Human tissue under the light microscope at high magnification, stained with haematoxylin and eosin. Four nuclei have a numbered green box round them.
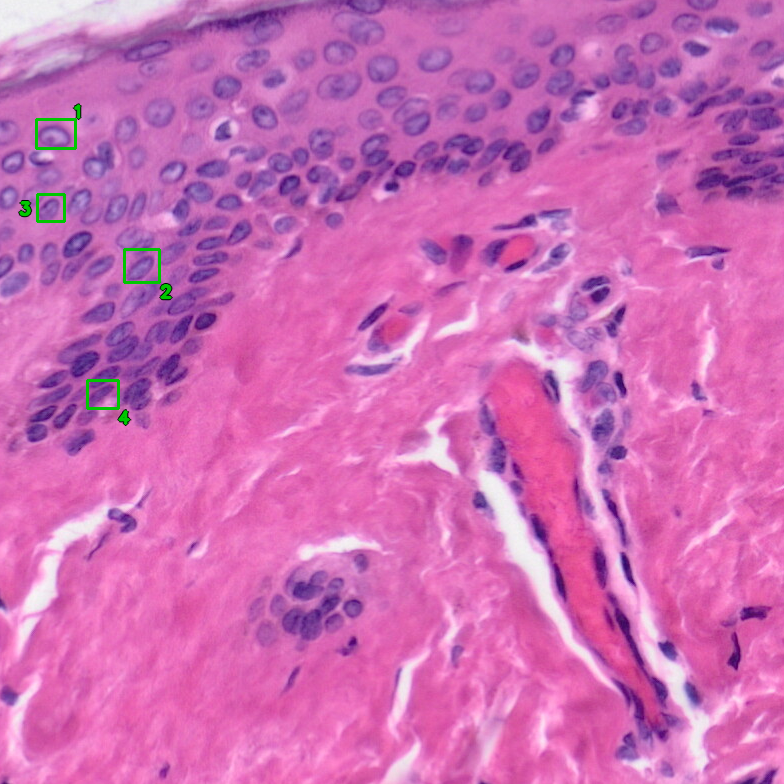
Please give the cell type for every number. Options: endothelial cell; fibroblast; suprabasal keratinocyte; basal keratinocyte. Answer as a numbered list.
1. suprabasal keratinocyte
2. suprabasal keratinocyte
3. suprabasal keratinocyte
4. basal keratinocyte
